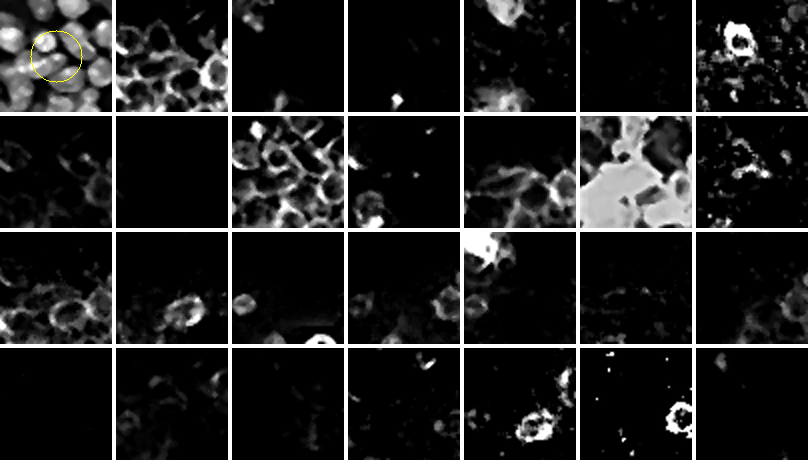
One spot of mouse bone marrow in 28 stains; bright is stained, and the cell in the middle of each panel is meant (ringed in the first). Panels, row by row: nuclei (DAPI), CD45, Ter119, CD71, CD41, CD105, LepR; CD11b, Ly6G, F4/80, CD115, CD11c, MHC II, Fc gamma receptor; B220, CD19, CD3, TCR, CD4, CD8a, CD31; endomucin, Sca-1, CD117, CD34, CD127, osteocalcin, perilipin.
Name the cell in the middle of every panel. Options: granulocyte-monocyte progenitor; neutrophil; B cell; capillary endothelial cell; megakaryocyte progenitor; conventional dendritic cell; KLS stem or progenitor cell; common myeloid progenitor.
conventional dendritic cell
